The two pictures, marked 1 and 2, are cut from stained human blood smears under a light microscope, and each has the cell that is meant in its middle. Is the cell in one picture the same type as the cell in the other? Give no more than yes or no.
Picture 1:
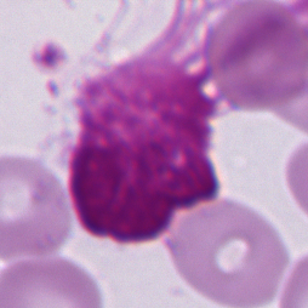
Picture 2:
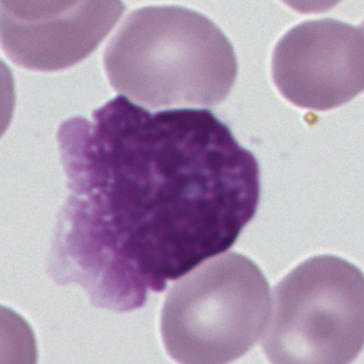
yes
